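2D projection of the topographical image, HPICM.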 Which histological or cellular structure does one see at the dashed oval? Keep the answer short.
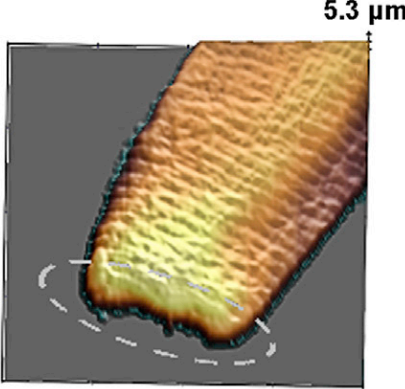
intercalated disc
